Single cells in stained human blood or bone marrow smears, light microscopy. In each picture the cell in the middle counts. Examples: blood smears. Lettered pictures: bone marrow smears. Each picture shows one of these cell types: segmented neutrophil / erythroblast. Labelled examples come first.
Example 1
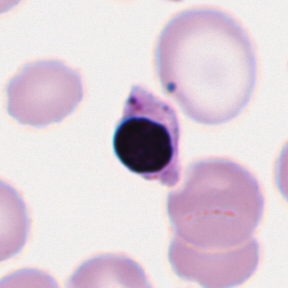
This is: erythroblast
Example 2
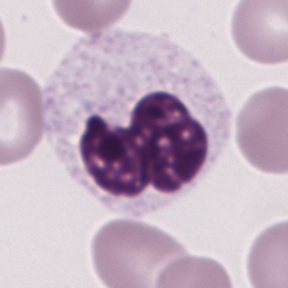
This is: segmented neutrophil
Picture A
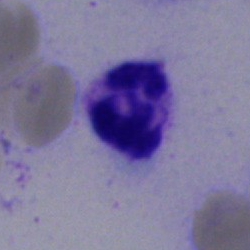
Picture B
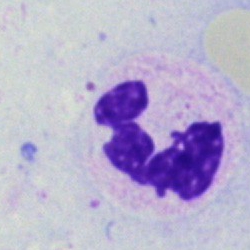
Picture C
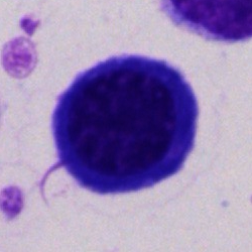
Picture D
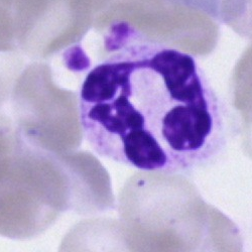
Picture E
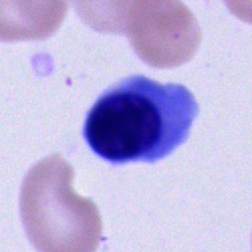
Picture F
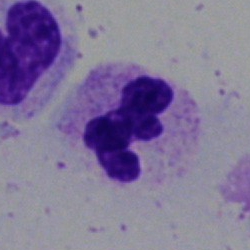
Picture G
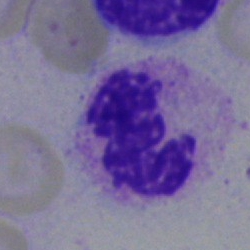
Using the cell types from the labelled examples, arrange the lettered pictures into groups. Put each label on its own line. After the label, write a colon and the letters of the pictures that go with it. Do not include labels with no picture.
segmented neutrophil: A, B, D, F, G
erythroblast: C, E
